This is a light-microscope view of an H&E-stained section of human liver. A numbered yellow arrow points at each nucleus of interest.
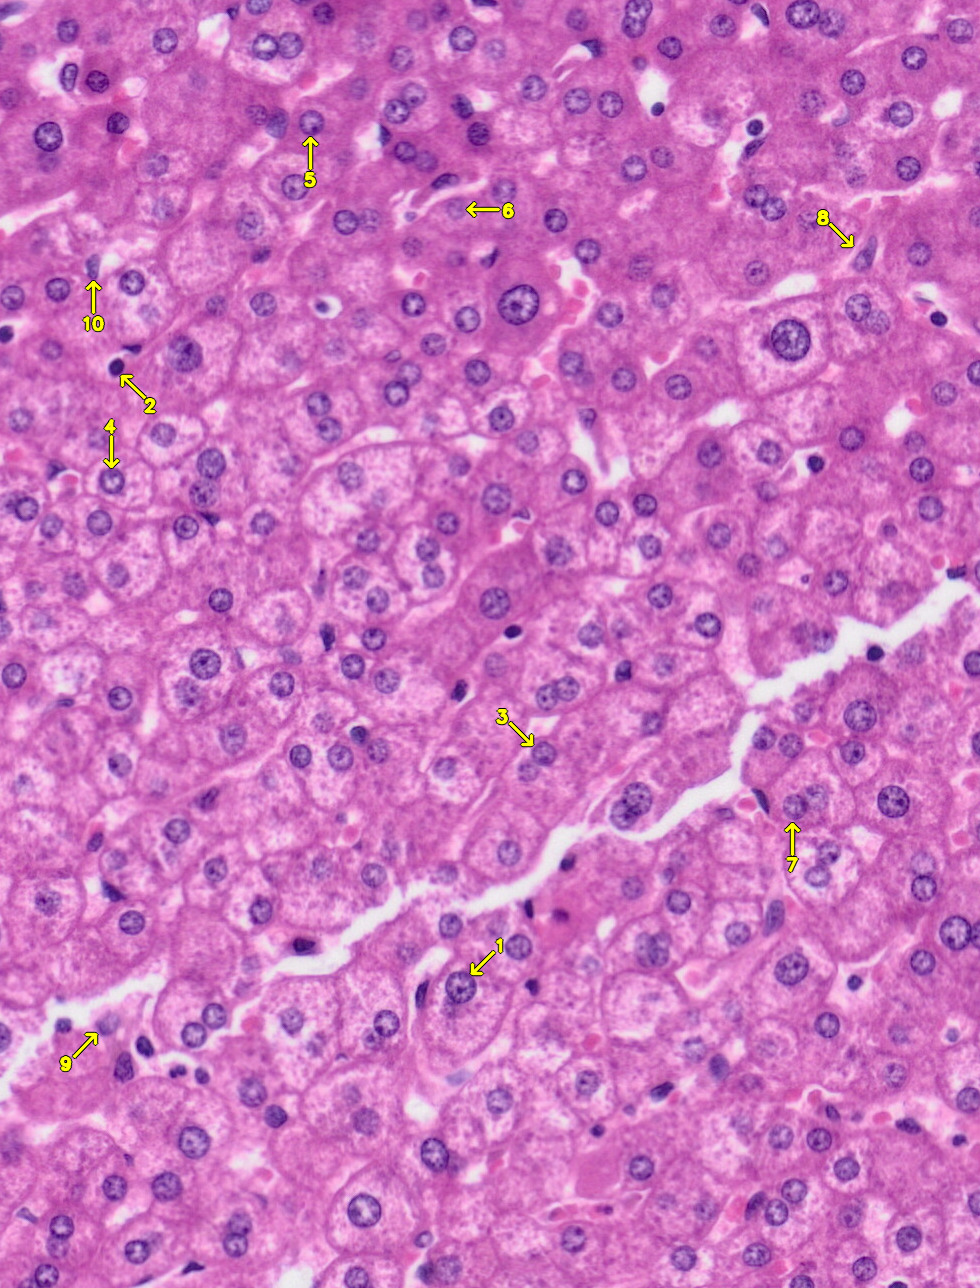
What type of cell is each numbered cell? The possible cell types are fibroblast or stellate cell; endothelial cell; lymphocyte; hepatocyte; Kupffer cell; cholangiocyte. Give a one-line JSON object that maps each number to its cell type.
{"1": "hepatocyte", "2": "lymphocyte", "3": "hepatocyte", "4": "hepatocyte", "5": "hepatocyte", "6": "hepatocyte", "7": "hepatocyte", "8": "Kupffer cell", "9": "Kupffer cell", "10": "endothelial cell"}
